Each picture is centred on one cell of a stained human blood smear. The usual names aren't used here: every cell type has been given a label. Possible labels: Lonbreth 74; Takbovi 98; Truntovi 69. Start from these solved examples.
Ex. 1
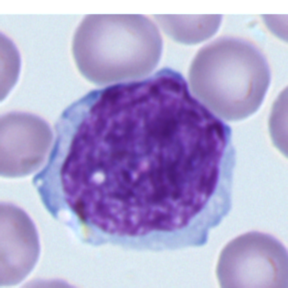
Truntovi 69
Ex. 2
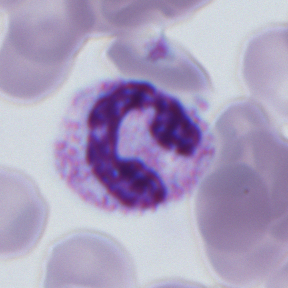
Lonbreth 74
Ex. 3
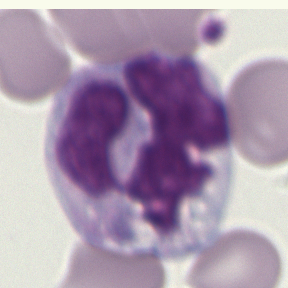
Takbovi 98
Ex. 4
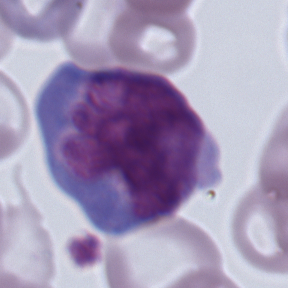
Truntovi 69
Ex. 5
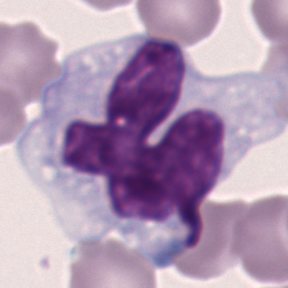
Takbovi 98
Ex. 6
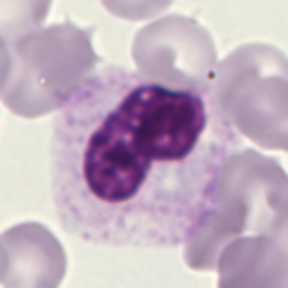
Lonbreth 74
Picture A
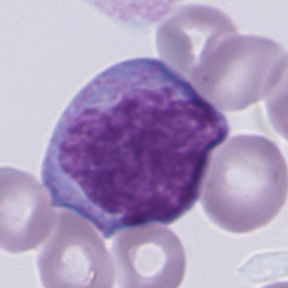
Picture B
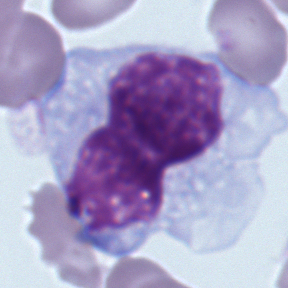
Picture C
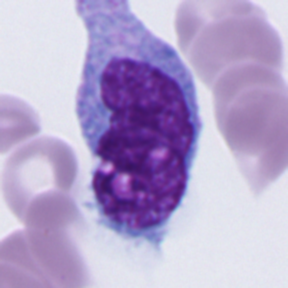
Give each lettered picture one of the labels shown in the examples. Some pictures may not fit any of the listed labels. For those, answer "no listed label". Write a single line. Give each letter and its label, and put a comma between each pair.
A no listed label, B Takbovi 98, C Takbovi 98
